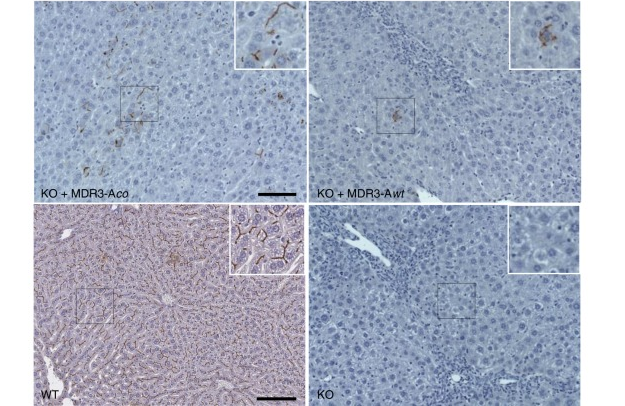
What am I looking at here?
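Four fields of tissue made of plates of polygonal cells with round blue nuclei. In one field fine brown lines run between the cells throughout, forming a branching network; in two fields brown lines appear only in scattered small clusters, and in the last field no brown is seen at all.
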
